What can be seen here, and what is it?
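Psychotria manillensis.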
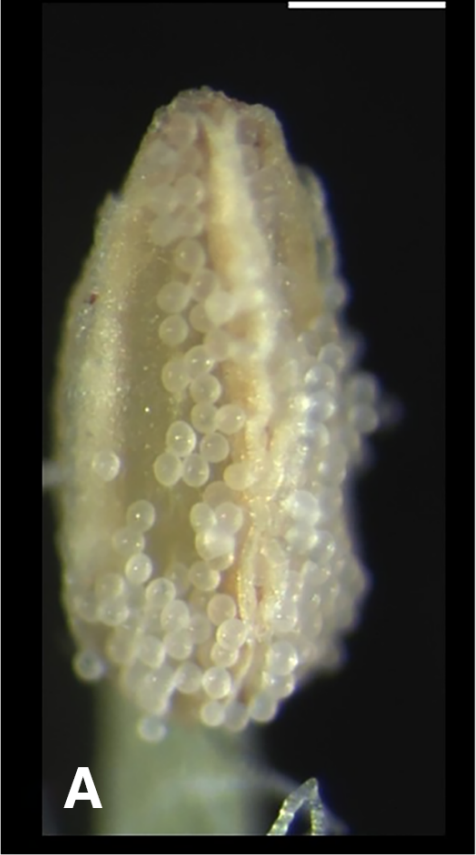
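An elongated, club-shaped anther is seen on a slender greenish filament, its pollen sacs opened and covered by numerous pollen grains. The pollen grains are small, round, translucent spheres of fairly uniform size. They crowd densely over most of the anther's surface, particularly along its lower and middle parts. Pale longitudinal ridges and grooves run along the length of the anther between the masses of grains. The anther wall is cream to pale tan.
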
